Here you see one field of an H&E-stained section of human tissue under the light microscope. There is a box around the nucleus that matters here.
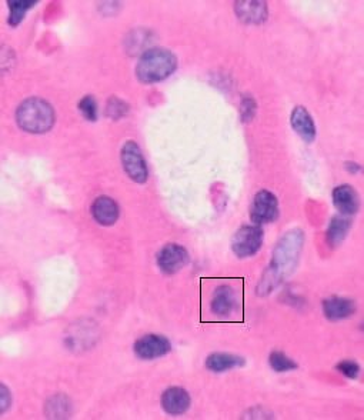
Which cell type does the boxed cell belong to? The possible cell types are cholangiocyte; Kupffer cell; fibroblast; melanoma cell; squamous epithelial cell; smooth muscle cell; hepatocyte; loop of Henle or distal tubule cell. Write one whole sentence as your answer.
The correct response here is that the boxed cell is a loop of Henle or distal tubule cell.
